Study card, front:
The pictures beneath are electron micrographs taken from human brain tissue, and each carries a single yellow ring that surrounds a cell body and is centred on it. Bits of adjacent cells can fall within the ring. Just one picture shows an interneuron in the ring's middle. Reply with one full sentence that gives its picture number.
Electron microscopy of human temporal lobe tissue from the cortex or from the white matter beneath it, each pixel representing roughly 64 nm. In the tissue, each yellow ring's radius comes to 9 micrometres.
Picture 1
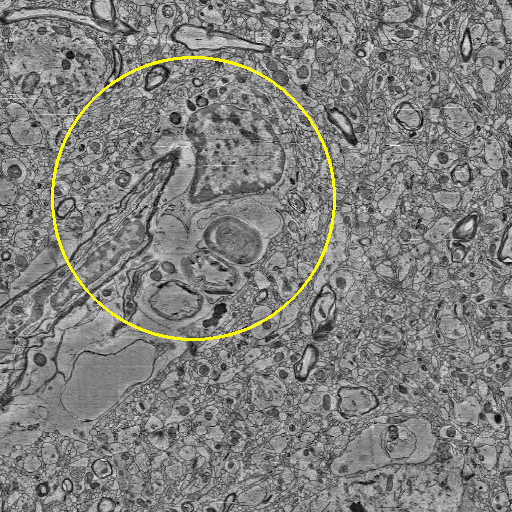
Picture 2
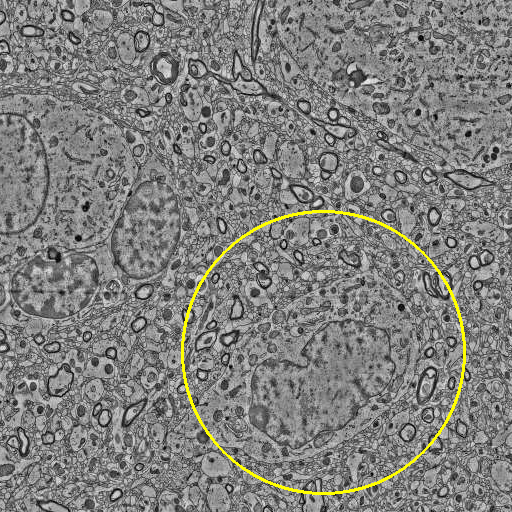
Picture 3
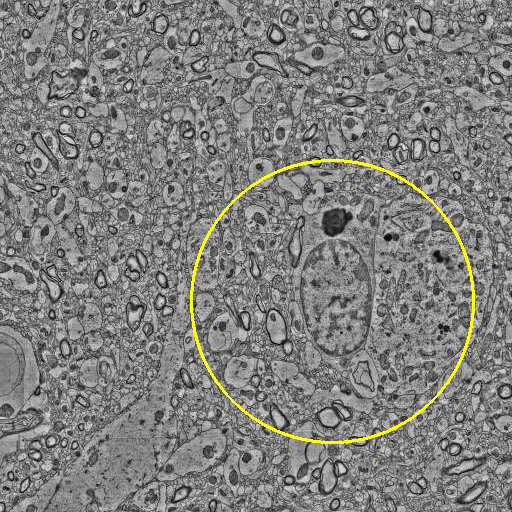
Picture 2 is the one whose ring has the requested cell at its centre.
